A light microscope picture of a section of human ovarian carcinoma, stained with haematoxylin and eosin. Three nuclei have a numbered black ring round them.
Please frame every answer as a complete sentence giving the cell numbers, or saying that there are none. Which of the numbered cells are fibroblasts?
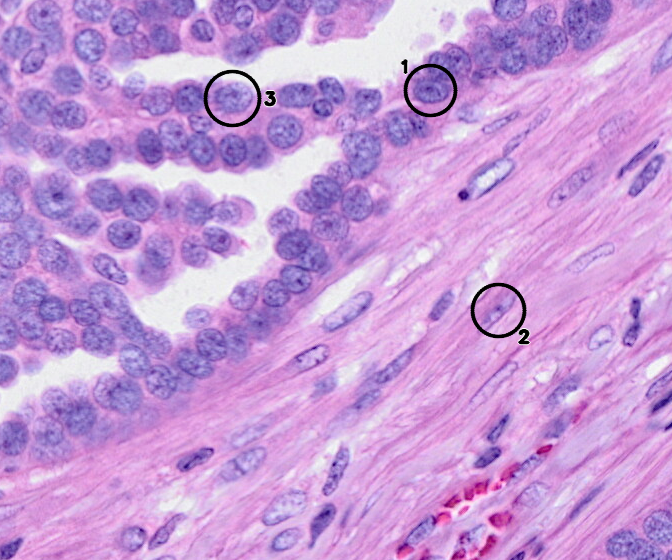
Of all the numbered cells, only cell 2 is a fibroblast.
